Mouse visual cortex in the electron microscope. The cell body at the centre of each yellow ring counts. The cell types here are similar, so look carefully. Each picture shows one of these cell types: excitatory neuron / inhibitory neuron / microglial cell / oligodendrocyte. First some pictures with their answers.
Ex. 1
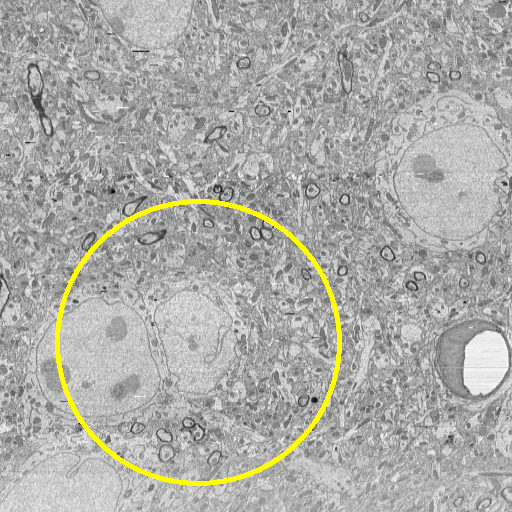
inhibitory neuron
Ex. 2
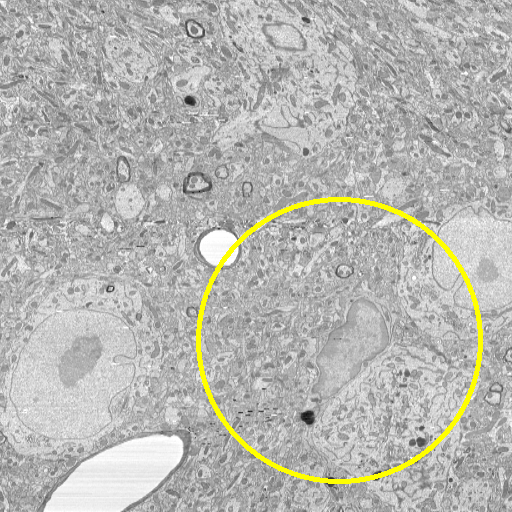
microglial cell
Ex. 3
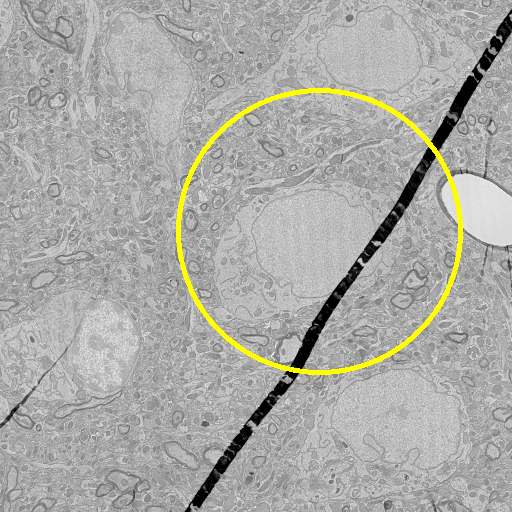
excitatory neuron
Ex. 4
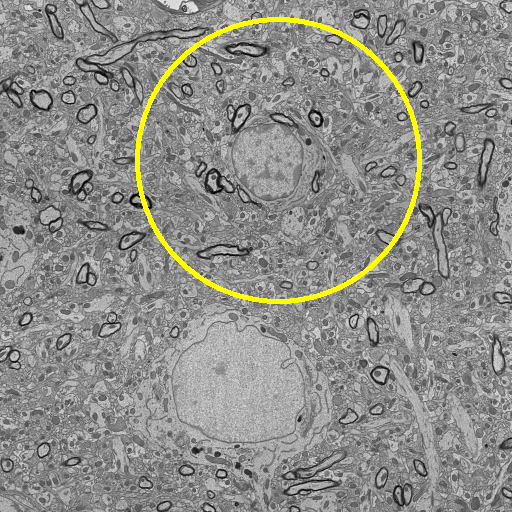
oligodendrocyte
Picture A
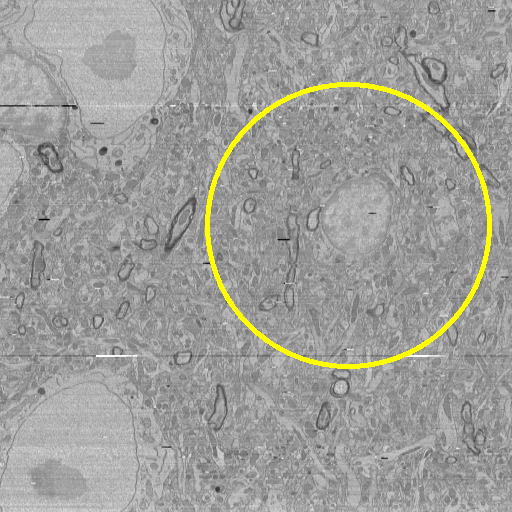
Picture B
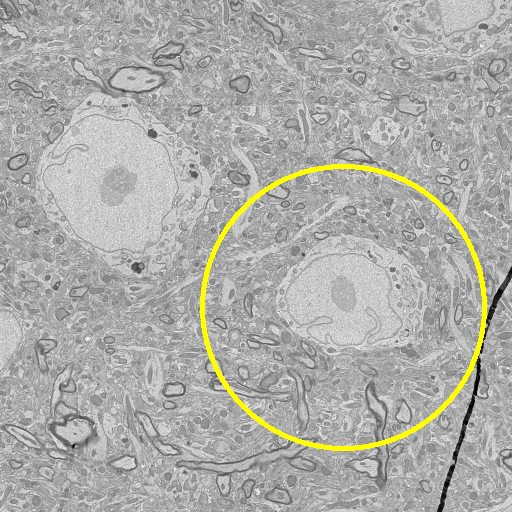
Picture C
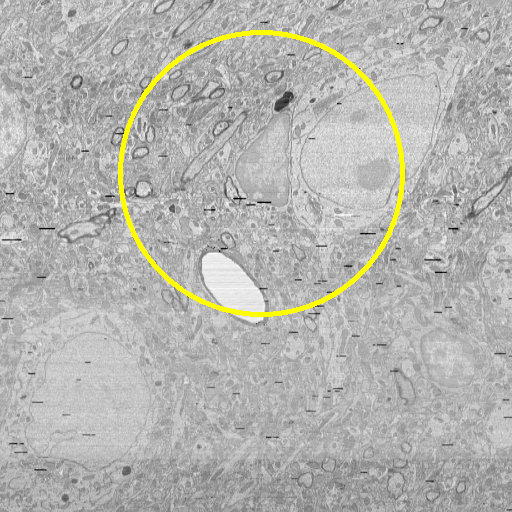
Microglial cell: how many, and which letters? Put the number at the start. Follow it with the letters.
Count: 1 (C)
